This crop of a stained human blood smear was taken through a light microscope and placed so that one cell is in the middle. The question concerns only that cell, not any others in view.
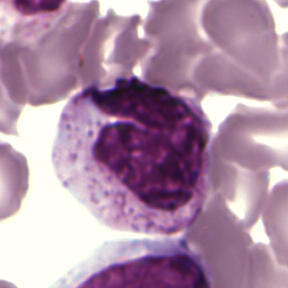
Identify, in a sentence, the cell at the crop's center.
Among the cells in view, the one in the middle is a band neutrophil.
